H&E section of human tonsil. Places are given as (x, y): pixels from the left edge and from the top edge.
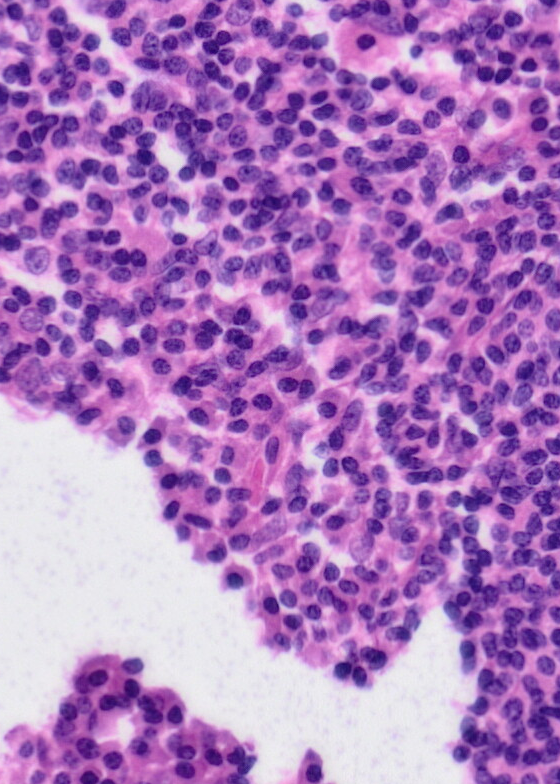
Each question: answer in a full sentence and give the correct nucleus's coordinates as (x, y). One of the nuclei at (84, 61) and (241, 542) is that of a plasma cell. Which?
That would be the nucleus at (241, 542); it belongs to a plasma cell.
